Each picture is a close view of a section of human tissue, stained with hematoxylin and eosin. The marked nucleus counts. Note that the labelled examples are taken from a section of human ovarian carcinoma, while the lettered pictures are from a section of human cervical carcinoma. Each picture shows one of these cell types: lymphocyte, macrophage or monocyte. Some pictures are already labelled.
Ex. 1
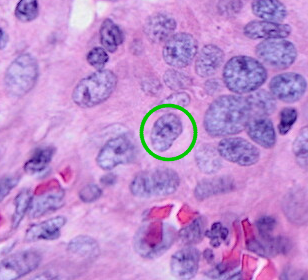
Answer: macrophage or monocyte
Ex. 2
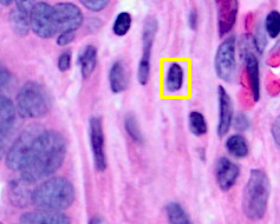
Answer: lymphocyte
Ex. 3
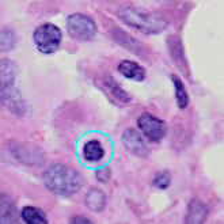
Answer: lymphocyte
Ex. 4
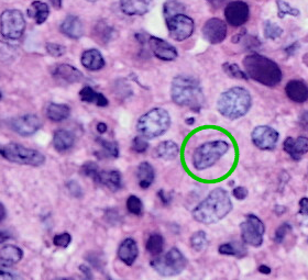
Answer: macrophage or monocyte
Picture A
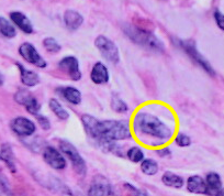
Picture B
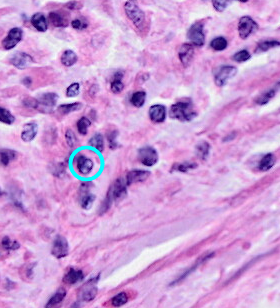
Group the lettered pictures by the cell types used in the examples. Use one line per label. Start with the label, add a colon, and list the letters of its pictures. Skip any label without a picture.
lymphocyte: A, B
